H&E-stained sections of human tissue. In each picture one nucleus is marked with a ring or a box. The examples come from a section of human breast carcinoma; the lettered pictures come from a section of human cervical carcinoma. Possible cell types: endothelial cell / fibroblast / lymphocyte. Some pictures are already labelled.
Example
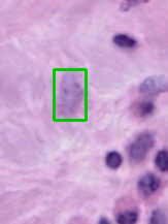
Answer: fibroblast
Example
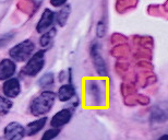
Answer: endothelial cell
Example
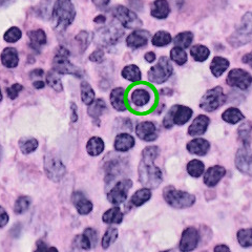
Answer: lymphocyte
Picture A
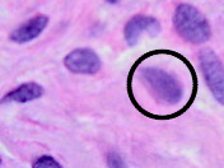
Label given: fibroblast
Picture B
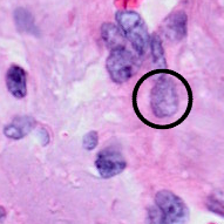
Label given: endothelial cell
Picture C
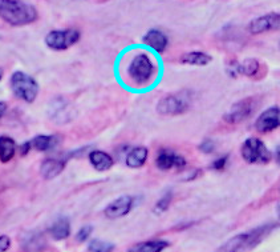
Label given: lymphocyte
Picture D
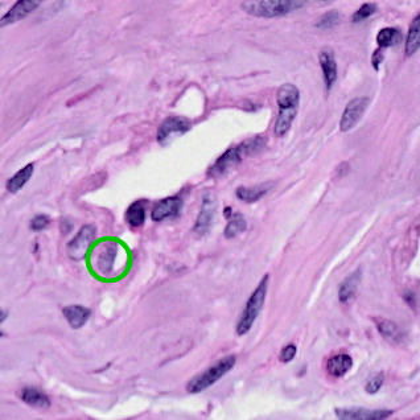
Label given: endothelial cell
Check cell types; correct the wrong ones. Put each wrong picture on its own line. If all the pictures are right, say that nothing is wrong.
All correct.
